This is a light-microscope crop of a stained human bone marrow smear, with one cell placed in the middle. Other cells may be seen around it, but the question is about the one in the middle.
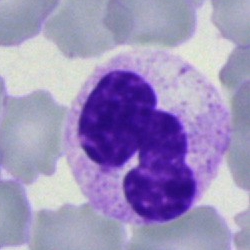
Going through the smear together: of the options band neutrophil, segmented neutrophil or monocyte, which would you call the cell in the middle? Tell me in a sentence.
As for the cell in the middle, it is a segmented neutrophil.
